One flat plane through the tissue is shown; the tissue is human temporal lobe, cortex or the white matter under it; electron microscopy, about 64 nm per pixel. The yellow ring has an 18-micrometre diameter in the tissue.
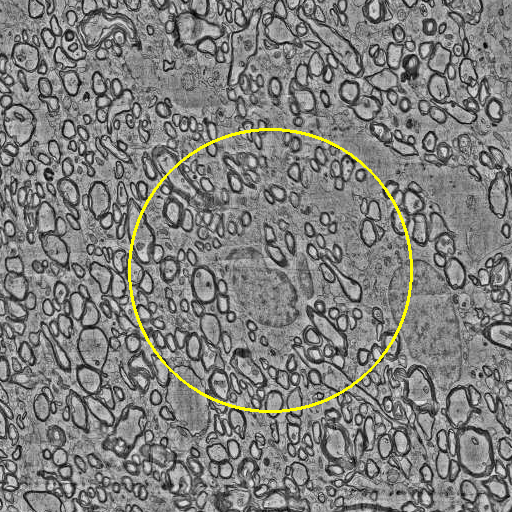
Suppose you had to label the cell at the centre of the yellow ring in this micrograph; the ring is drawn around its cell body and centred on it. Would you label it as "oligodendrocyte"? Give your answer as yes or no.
No, I would label it as another kind.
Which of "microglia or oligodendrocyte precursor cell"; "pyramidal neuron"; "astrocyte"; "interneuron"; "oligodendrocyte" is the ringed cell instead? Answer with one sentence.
So the cell at the centre is a microglial cell or oligodendrocyte precursor cell.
